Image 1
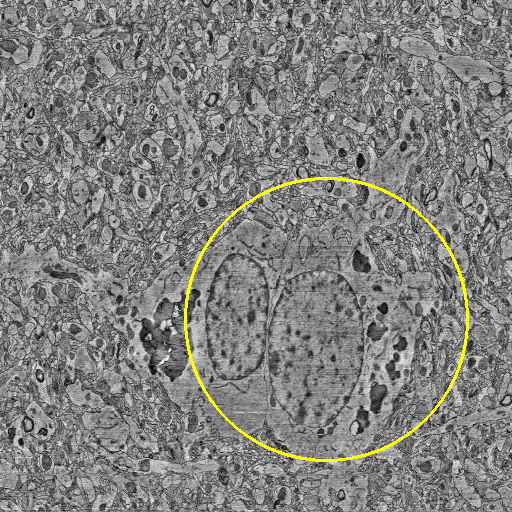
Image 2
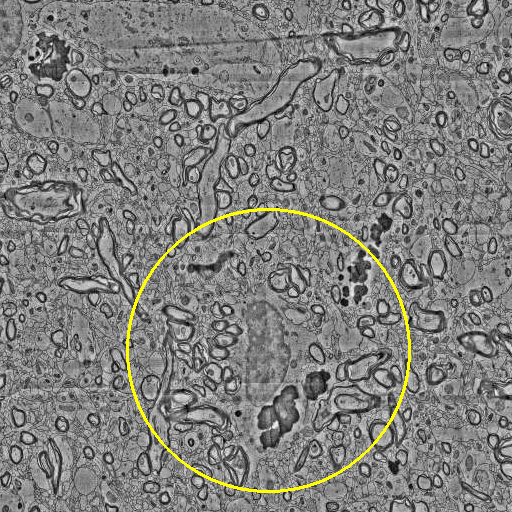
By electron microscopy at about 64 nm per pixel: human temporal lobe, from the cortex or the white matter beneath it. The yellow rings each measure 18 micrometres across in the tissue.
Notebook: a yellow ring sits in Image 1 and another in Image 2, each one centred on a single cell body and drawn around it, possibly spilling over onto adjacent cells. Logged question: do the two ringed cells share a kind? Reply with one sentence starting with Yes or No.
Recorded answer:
No, the centre cells inside the rings of Image 1 and Image 2 are of two kinds.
